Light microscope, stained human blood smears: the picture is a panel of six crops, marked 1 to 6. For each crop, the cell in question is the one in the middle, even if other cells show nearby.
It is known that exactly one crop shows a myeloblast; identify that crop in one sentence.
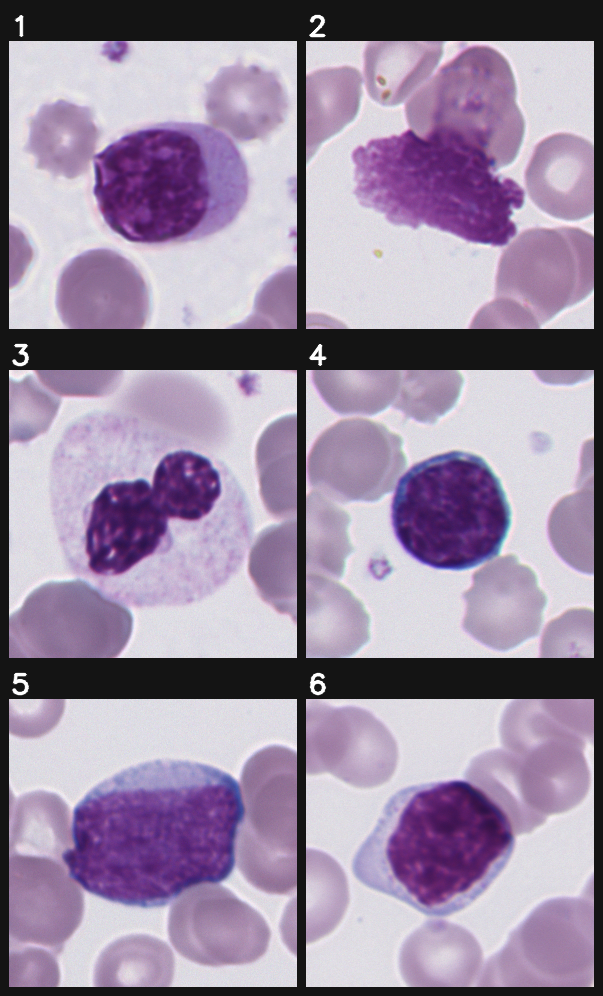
Selected crop: 5, which is the one that shows a myeloblast.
